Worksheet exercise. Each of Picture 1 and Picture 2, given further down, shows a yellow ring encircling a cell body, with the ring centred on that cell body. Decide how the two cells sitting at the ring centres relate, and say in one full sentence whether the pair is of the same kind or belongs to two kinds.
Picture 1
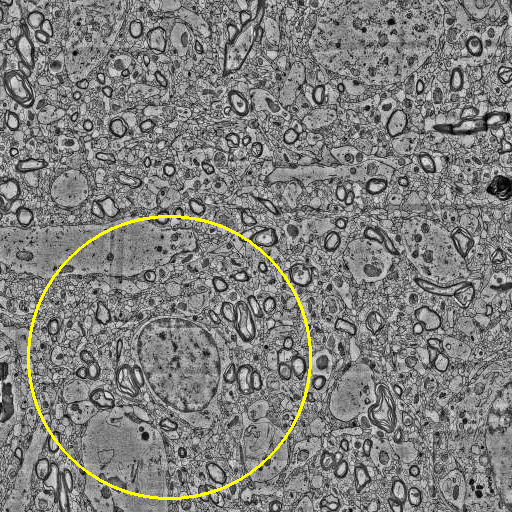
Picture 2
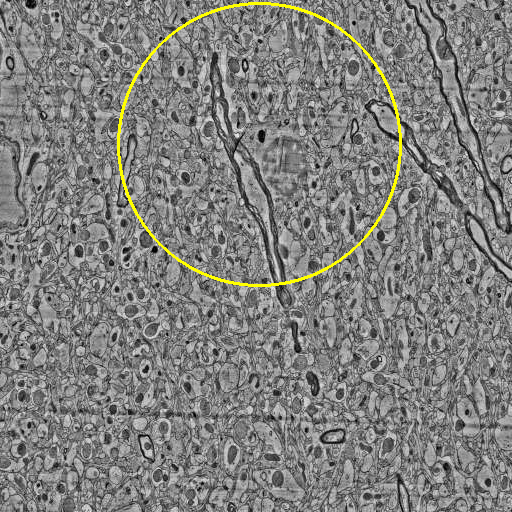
The cells at the ring centres in Picture 1 and Picture 2 belong to two kinds.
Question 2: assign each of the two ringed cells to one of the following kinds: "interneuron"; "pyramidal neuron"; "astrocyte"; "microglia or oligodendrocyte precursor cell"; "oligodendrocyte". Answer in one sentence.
The two cells are a microglial cell or oligodendrocyte precursor cell in the first picture and an oligodendrocyte in the second.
